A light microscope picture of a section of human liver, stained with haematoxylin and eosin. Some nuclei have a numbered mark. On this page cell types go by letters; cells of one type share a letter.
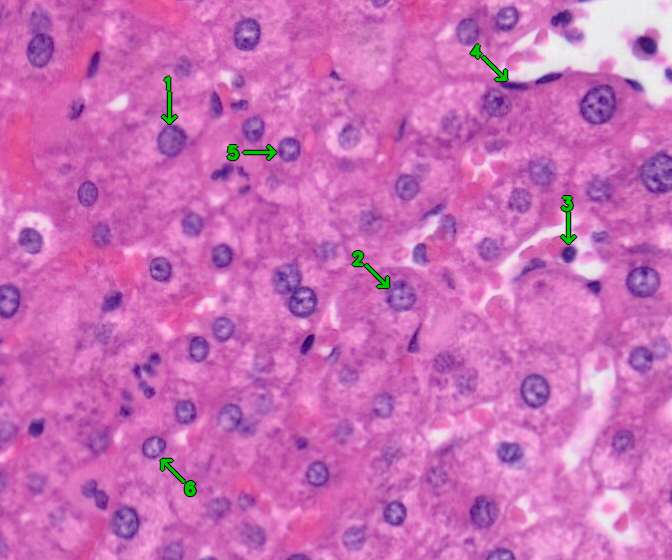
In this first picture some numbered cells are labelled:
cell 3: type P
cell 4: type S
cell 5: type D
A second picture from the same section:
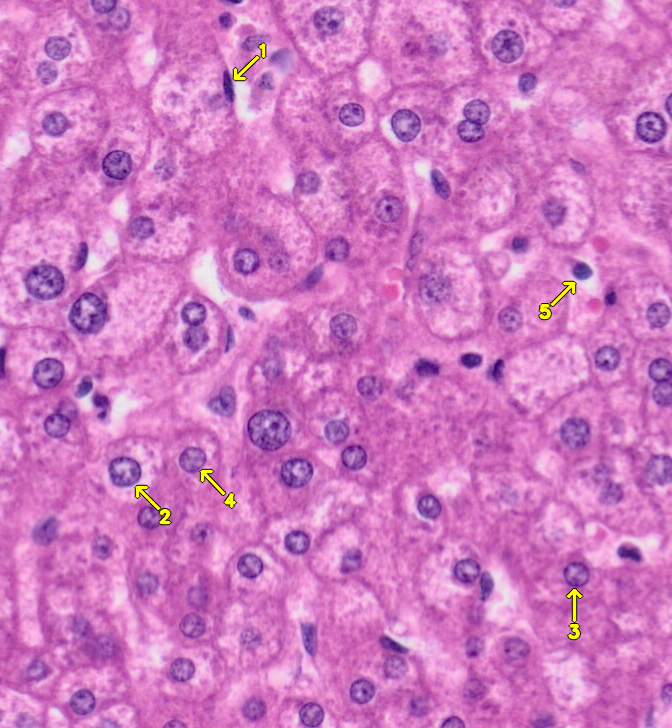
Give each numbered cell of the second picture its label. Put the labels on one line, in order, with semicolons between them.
type S; type D; type D; type D; type P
